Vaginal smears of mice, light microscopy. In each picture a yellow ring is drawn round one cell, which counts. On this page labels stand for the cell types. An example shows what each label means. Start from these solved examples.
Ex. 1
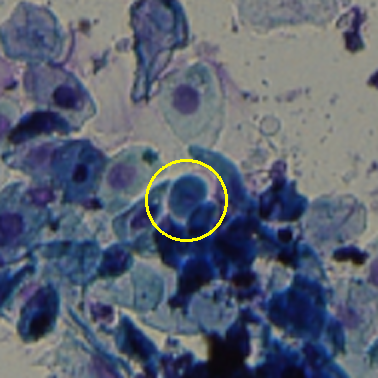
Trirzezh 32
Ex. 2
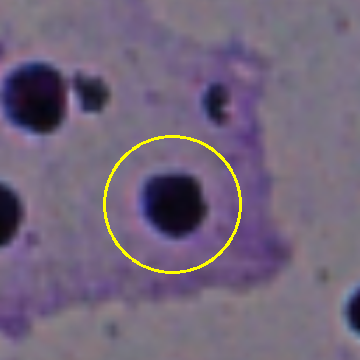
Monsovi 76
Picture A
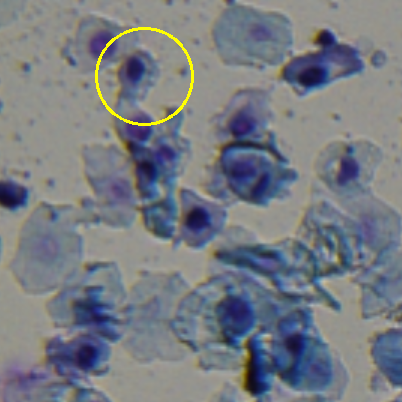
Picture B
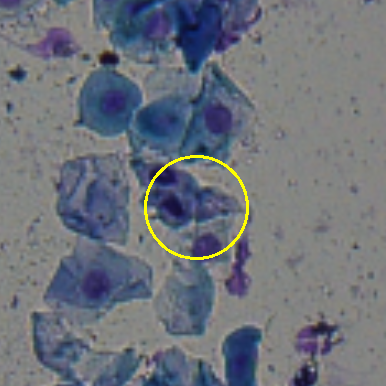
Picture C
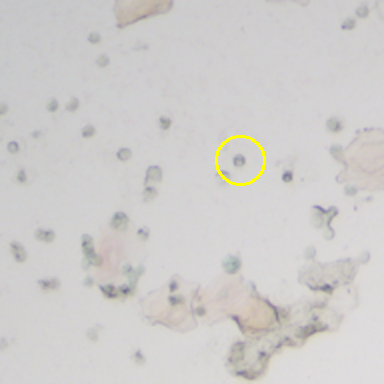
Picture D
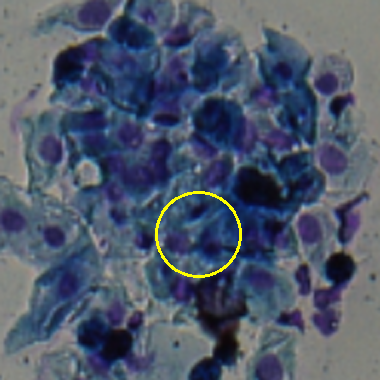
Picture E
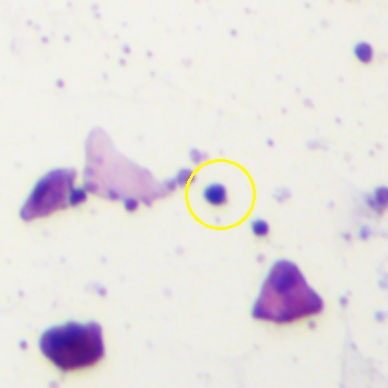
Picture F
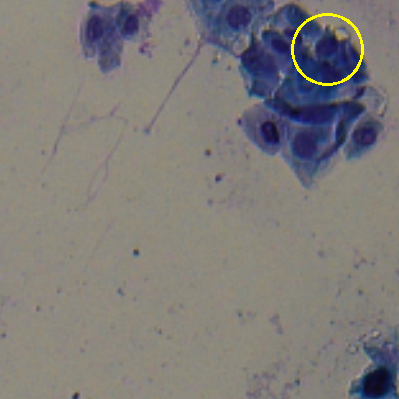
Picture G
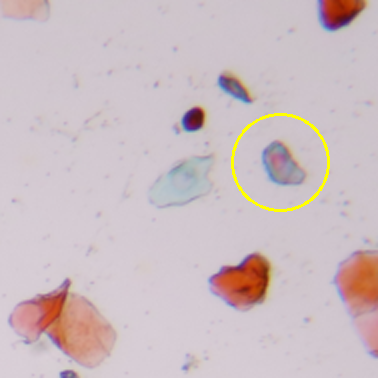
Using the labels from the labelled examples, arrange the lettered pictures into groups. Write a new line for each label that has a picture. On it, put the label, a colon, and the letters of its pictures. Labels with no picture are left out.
Trirzezh 32: A, B, D, F, G
Monsovi 76: C, E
